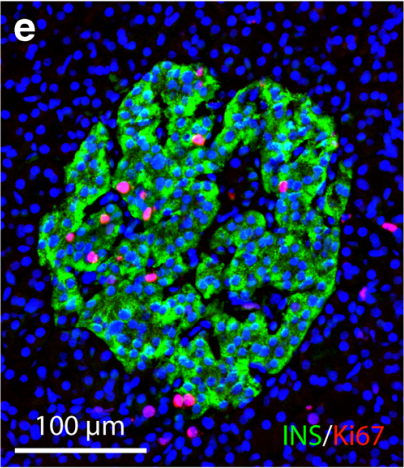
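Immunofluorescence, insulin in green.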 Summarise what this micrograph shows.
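This is a pancreatic islet, its cells filled with green cytoplasm, surrounded by exocrine tissue whose many nuclei appear as blue dots. The islet is large and lobulated, with irregular clefts running through it. Within the green area, blue nuclei of the islet cells are visible, and a number of them stand out bright red-pink, scattered through the islet and at its margin. The surrounding tissue shows densely packed nuclei without green cytoplasm, with only the odd red nucleus.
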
